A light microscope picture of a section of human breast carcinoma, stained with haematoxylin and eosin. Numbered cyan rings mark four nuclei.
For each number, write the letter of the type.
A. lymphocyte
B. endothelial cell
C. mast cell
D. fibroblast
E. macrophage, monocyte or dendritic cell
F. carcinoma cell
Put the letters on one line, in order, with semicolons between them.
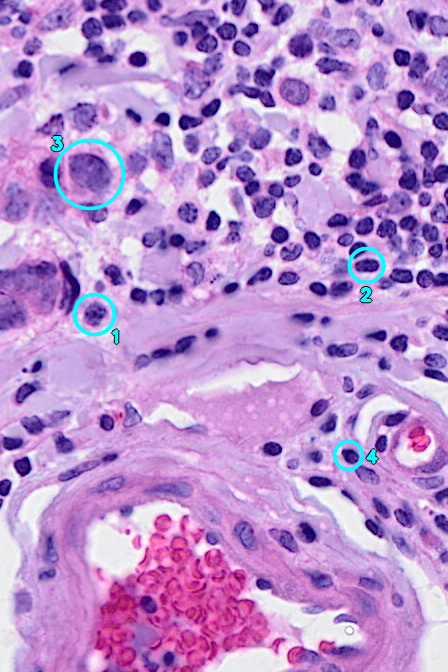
A; A; F; A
